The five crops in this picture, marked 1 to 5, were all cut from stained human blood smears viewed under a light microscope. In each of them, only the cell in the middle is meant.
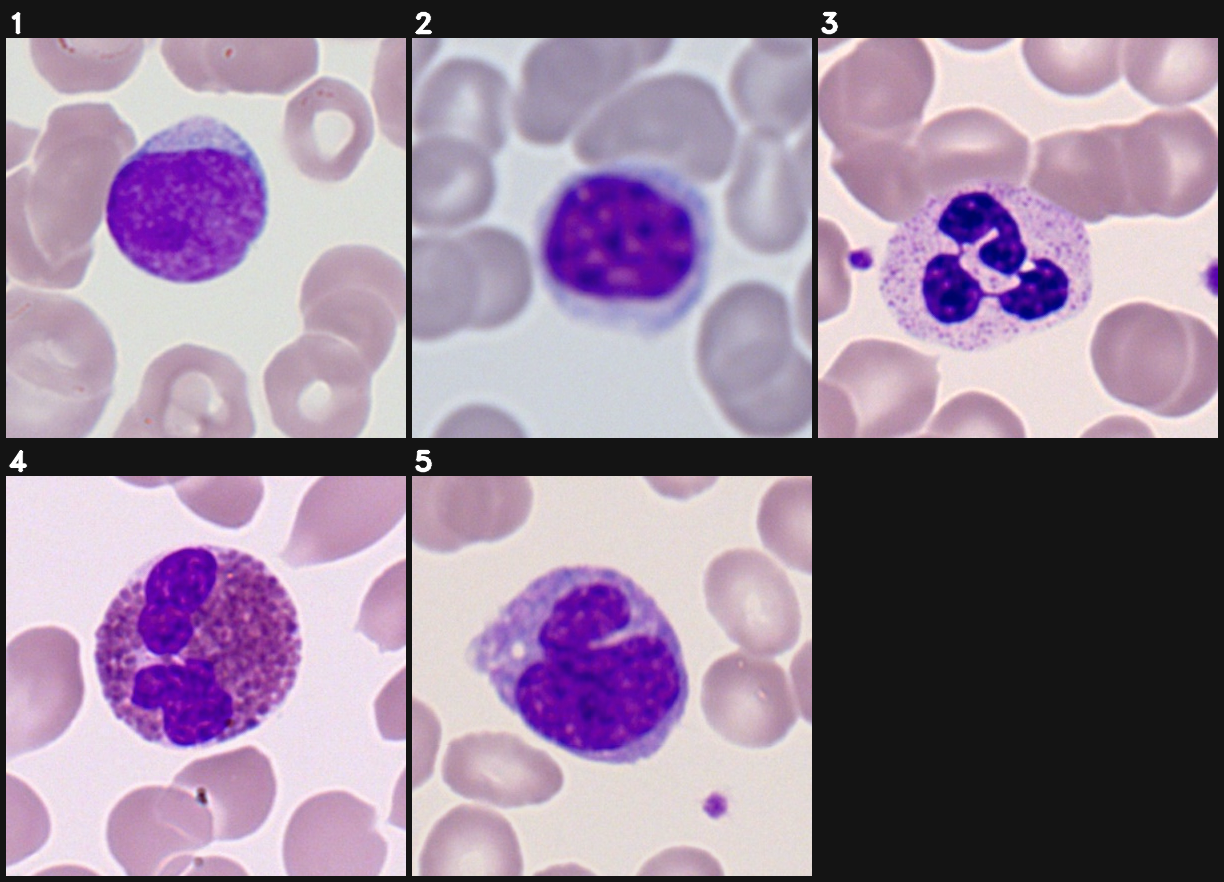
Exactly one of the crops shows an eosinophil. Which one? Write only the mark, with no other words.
4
